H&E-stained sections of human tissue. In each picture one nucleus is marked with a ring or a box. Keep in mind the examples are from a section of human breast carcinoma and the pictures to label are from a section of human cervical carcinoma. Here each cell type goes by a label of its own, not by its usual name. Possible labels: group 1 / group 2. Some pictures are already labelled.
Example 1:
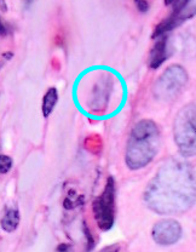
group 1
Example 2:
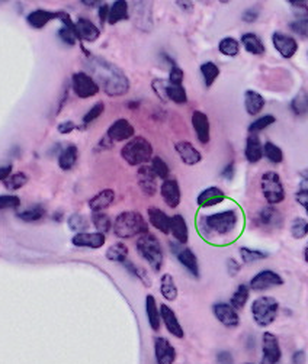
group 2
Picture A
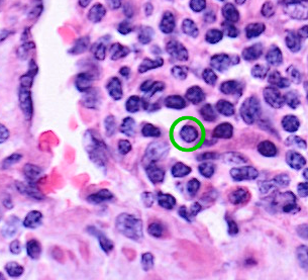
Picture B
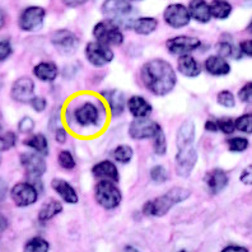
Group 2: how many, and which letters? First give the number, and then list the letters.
Count: 2 (A, B)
